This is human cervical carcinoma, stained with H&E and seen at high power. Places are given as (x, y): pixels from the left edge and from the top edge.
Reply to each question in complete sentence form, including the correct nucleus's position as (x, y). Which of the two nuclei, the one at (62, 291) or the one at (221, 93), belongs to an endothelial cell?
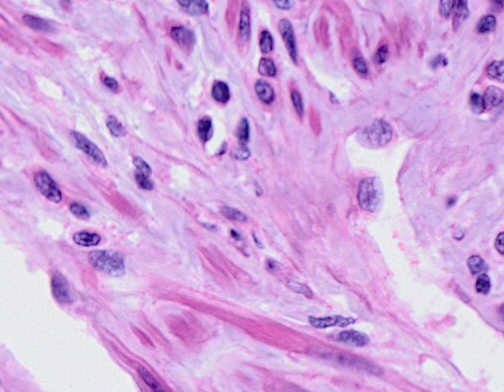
Of these two nuclei, it is the one at (62, 291) that belongs to an endothelial cell.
